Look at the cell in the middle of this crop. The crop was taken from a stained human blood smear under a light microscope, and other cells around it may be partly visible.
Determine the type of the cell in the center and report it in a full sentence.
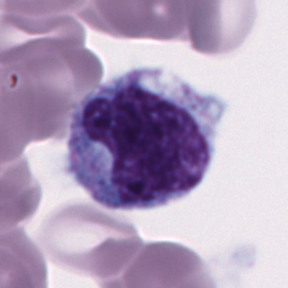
The cell at the heart of this crop is a monocyte.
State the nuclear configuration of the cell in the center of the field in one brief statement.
One compact mass makes up the whole nucleus, round, oval or kidney-shaped.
